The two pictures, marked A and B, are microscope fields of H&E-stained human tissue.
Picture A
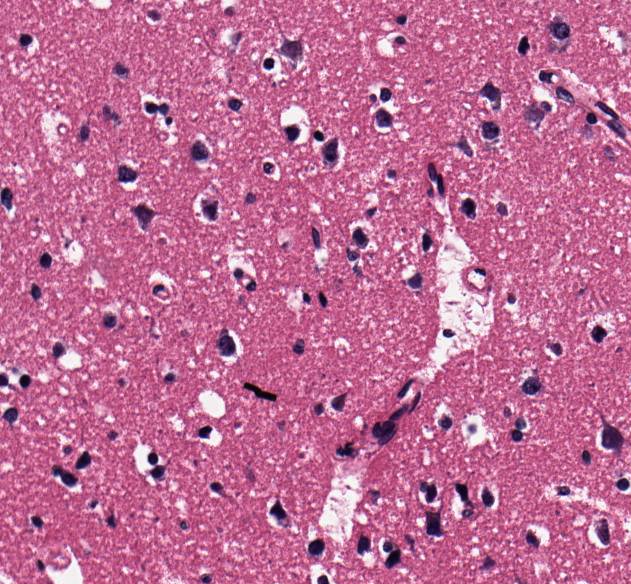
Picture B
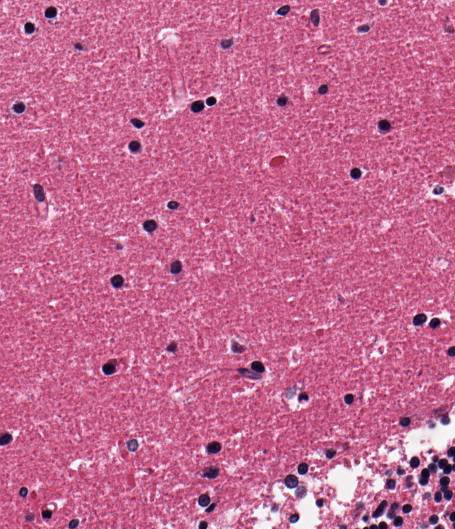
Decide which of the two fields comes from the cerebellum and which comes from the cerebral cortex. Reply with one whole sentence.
Picture B comes from the cerebellum, while picture A comes from the cerebral cortex.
